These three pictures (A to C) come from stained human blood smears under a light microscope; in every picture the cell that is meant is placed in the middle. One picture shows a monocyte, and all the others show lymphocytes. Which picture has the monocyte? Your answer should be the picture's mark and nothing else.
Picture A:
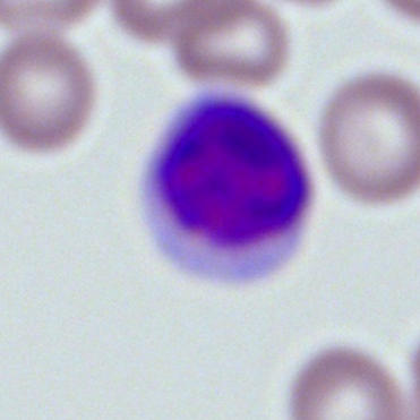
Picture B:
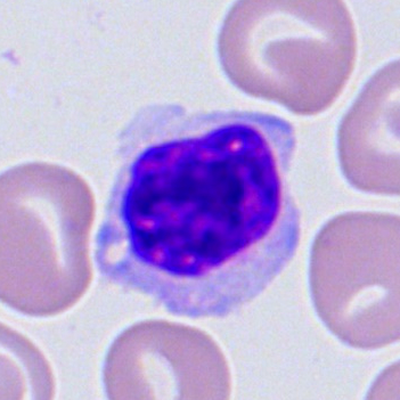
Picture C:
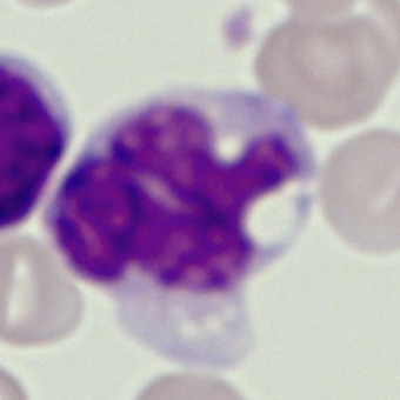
C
